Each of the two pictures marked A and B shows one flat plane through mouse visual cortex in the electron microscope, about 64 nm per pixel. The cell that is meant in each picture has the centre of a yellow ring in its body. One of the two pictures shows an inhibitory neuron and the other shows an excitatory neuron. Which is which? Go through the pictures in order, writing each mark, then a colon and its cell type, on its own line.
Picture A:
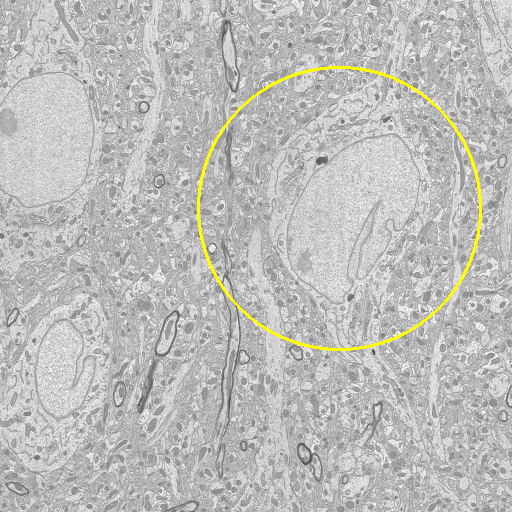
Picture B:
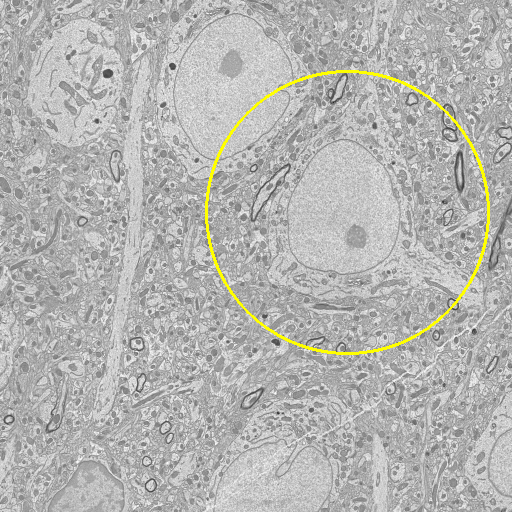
A: inhibitory neuron
B: excitatory neuron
